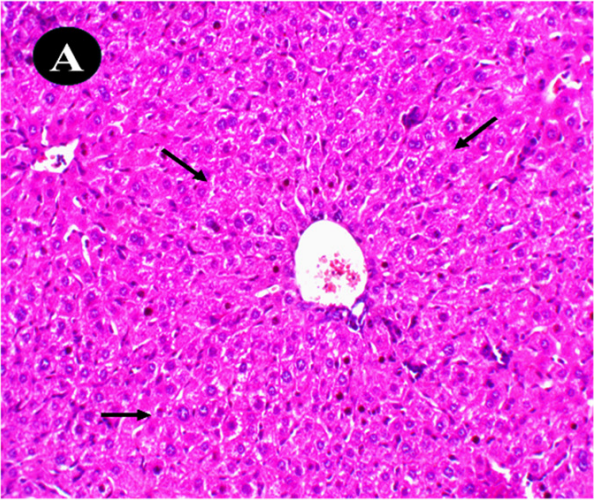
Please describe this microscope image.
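This is liver, with hepatocytes arranged in regular cords that radiate from a central vessel containing red blood cells. The hepatocytes are polygonal, with pink cytoplasm and round, centrally placed purple nuclei. Narrow sinusoidal spaces separate the cords. No clusters of inflammatory cells are seen.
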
